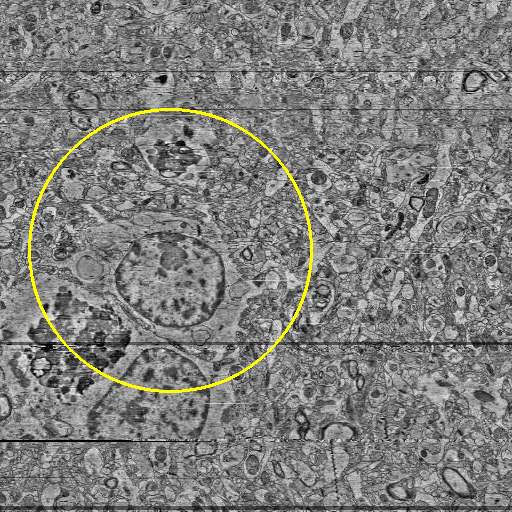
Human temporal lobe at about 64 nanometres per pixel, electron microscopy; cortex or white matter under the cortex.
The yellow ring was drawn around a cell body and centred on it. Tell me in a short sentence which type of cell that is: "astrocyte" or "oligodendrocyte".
The cell at the ring's centre is an astrocyte.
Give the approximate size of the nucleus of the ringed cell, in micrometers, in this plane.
In this plane the nucleus measures roughly 7 micrometres across.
